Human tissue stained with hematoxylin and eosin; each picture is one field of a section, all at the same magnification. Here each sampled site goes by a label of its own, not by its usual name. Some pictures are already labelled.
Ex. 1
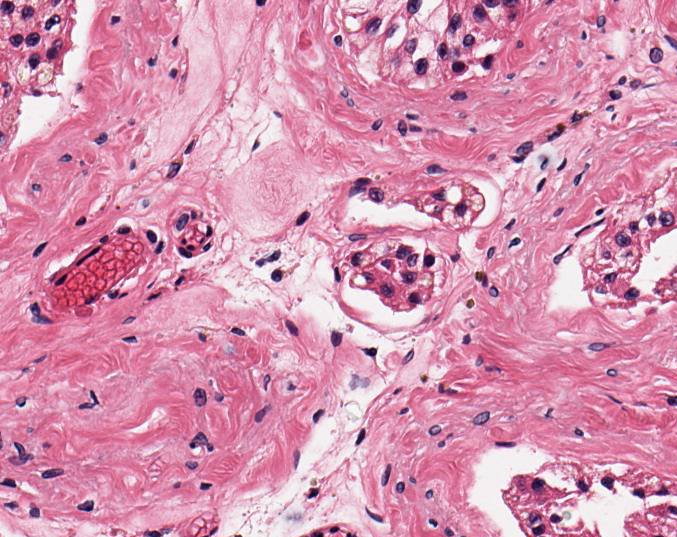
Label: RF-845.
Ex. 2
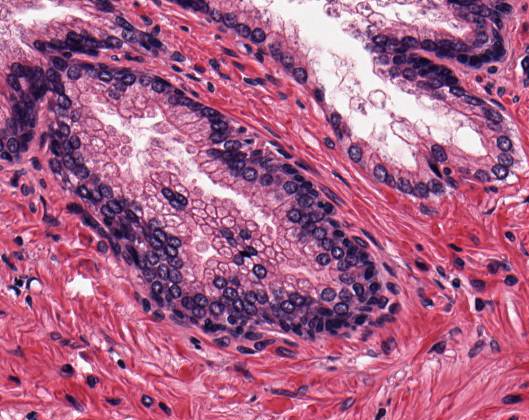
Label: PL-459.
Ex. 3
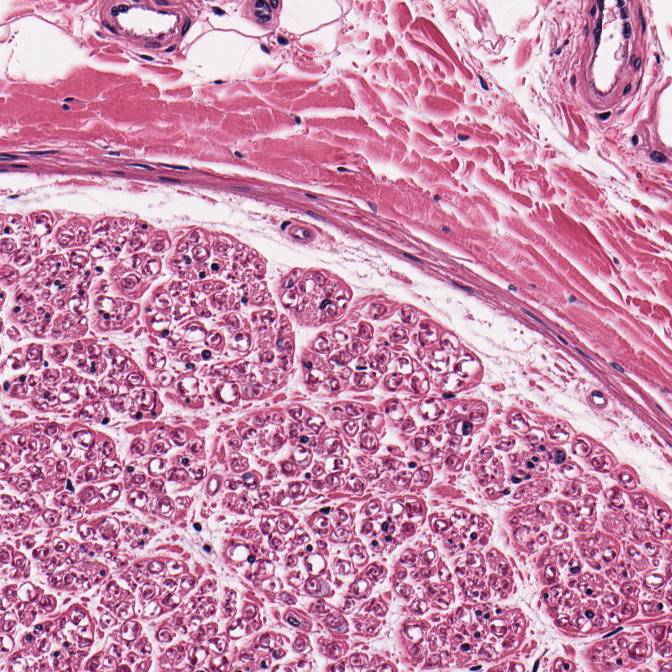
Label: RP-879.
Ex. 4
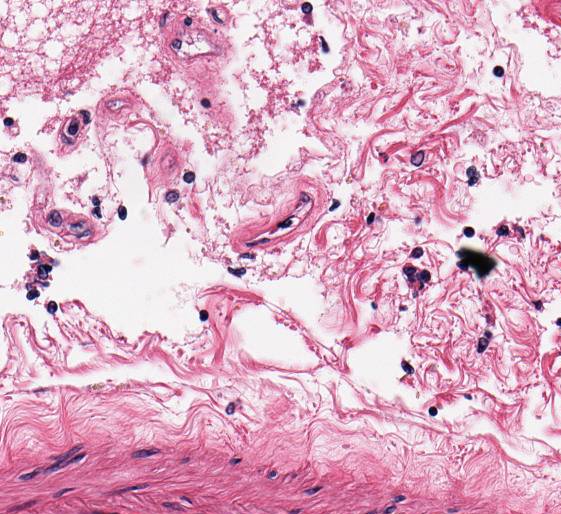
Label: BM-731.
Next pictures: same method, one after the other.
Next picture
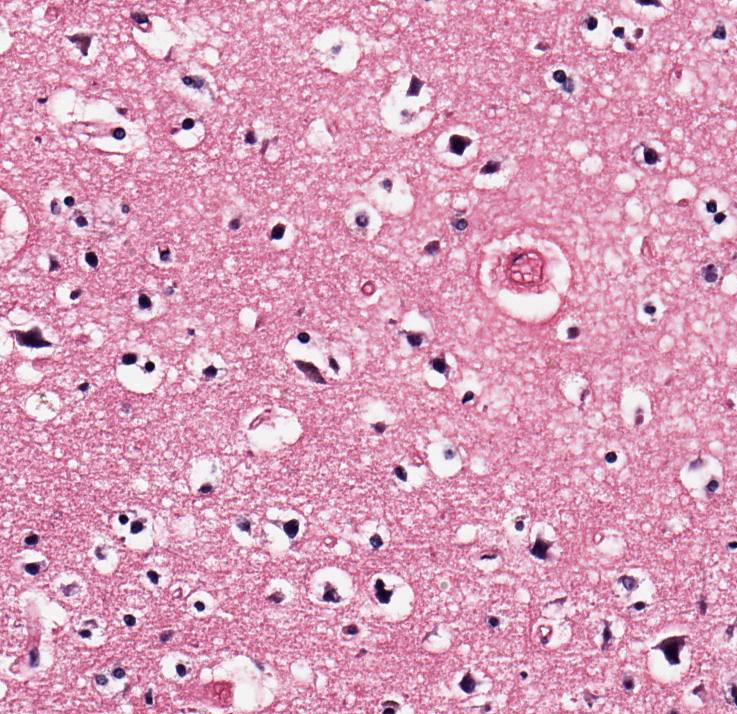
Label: BM-731.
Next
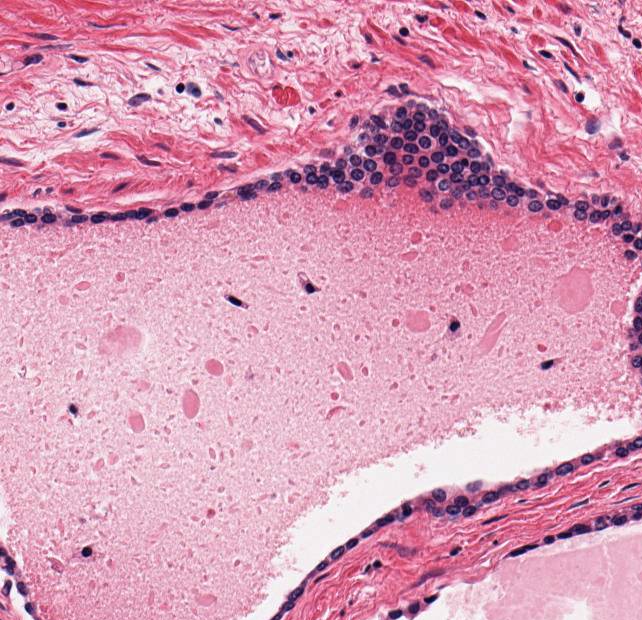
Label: PL-459.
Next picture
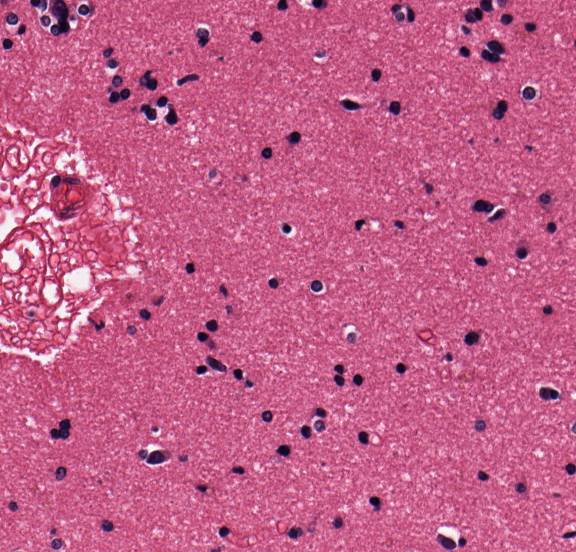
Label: BM-731.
